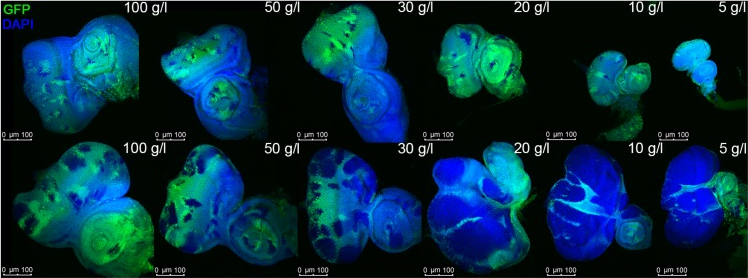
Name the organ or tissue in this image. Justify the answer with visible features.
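Flattened folded epithelial discs with a larger lobe and a smaller attached lobe.
Answer: eye discs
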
